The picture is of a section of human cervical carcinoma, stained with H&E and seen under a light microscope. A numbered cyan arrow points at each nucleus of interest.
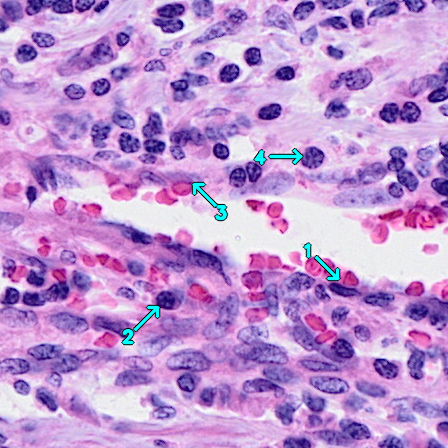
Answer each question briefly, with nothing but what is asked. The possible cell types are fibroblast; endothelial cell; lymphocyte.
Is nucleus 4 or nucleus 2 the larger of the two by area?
4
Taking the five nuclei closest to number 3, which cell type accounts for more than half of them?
lymphocyte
